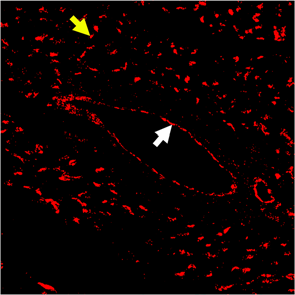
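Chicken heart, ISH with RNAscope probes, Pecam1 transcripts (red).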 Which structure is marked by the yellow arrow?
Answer: small capillary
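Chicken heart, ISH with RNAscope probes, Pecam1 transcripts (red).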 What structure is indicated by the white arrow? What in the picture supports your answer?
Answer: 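The arrow points at a thin line of red dots that outlines a large oval space. The red line follows the inner border of the wide lumen.
Hence: large blood vessels.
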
